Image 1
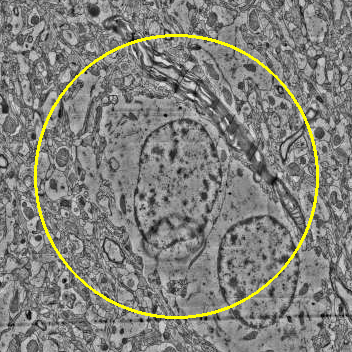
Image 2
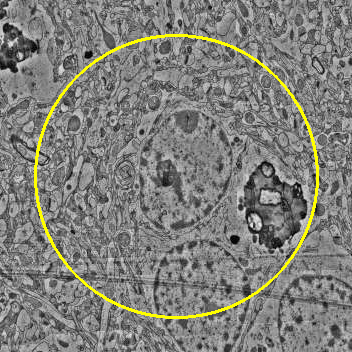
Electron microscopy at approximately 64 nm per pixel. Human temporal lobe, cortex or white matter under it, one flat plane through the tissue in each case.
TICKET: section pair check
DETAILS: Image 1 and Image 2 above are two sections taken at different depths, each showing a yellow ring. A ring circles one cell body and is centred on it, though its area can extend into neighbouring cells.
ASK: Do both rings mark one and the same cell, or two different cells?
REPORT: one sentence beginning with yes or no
No, these two rings belong to two distinct cells.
